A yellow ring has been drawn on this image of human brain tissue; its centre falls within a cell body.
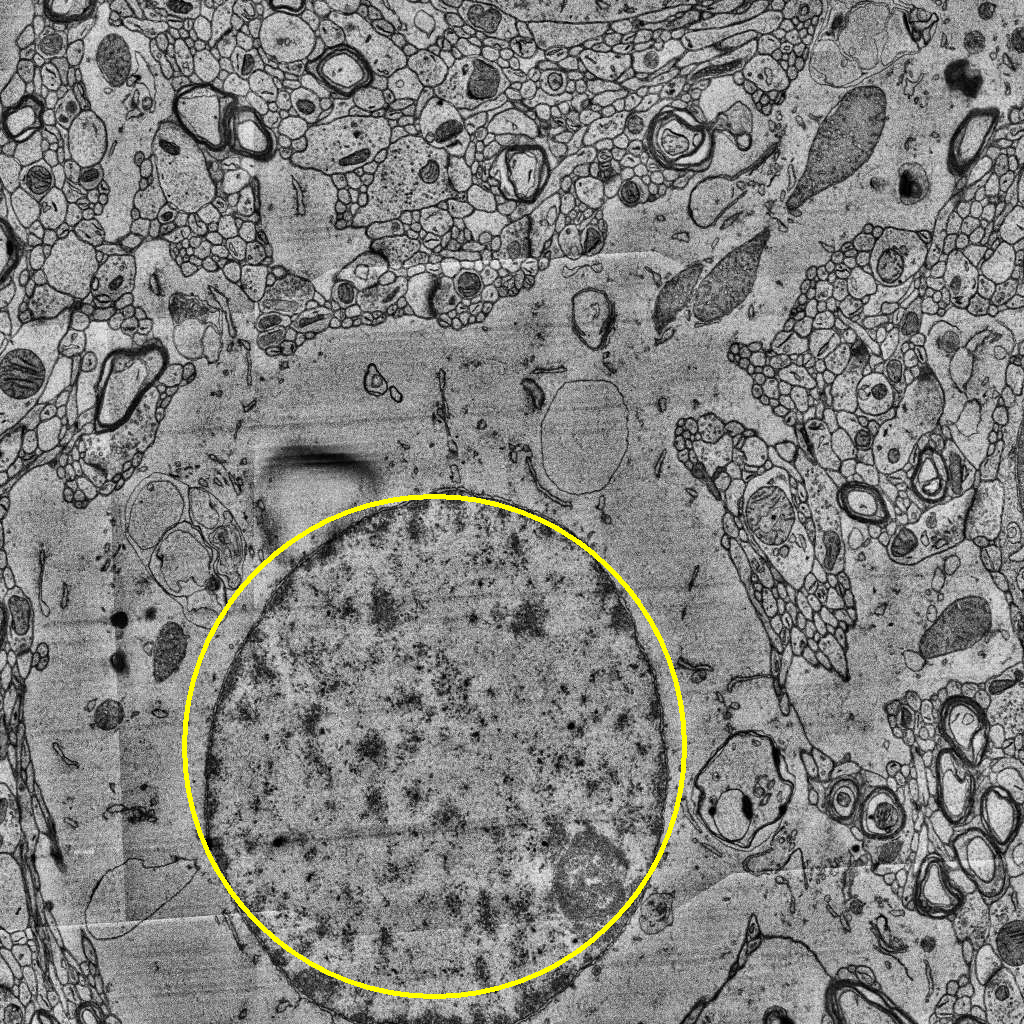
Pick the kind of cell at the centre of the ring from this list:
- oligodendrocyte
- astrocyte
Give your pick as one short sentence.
The centre of the ring holds an astrocyte.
